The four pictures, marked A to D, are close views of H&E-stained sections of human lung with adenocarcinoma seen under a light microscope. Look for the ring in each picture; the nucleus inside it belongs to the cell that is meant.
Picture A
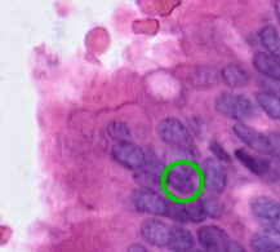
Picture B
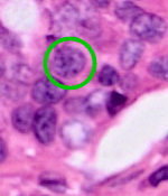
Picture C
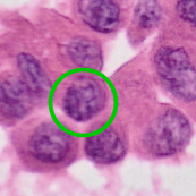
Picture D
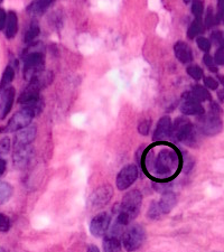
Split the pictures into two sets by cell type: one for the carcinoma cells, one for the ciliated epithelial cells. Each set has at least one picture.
A: ciliated epithelial cell
B: ciliated epithelial cell
C: carcinoma cell
D: ciliated epithelial cell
